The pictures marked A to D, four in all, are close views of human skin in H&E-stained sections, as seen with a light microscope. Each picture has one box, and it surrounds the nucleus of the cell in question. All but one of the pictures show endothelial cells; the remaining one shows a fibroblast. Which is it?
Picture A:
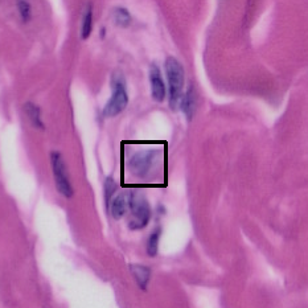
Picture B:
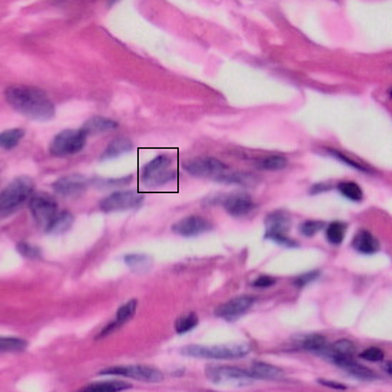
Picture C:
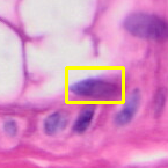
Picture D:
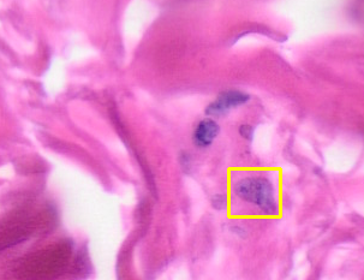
D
